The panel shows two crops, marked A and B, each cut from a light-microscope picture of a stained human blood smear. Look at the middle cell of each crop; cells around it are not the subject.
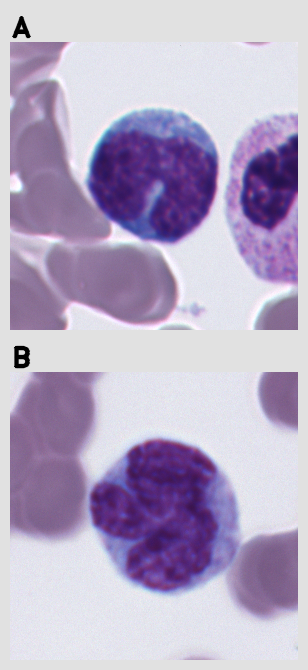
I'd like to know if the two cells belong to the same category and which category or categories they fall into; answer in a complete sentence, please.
Yes, the pair of crops both show monocytes.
